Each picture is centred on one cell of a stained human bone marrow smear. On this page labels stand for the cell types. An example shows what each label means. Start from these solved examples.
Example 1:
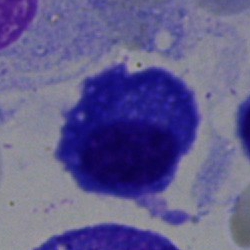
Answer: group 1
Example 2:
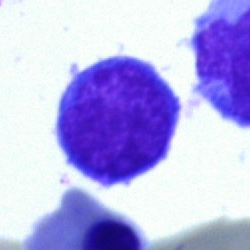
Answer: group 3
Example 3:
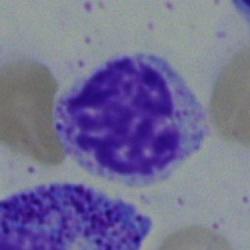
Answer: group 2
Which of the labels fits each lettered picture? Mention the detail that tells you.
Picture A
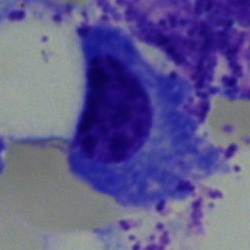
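group 1. Reason: The cytoplasm is abundant, covering more area than the nucleus.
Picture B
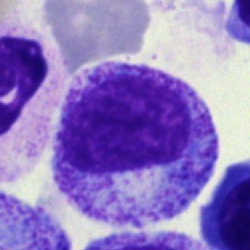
group 2. Reason: Numerous purple granules are scattered throughout the cytoplasm.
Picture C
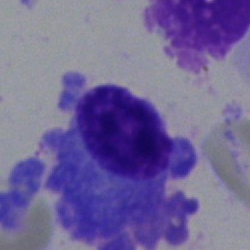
group 1. Reason: The cytoplasm is plentiful and spreads mainly below the nucleus.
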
